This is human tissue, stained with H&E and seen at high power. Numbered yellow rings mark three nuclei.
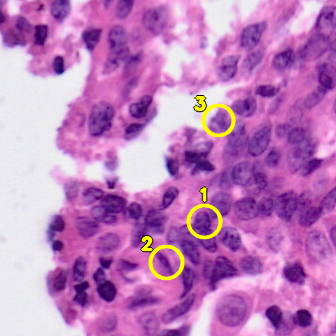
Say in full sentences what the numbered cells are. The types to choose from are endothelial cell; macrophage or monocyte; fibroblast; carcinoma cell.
Cell 1 is a carcinoma cell, cell 2 is a carcinoma cell and cell 3 is a macrophage or monocyte.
